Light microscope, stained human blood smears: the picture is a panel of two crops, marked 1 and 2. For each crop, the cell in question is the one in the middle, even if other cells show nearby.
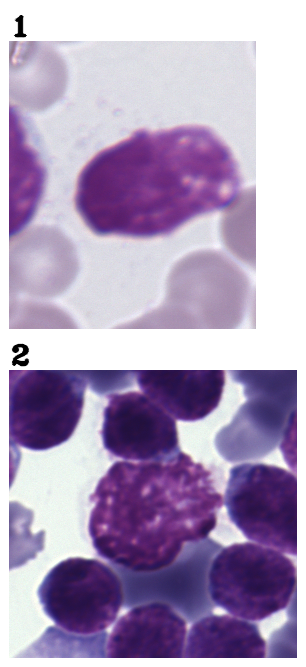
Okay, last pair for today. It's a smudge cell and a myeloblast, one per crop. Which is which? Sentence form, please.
As for the pair, crop 1 is a smudge cell and crop 2 is a myeloblast.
